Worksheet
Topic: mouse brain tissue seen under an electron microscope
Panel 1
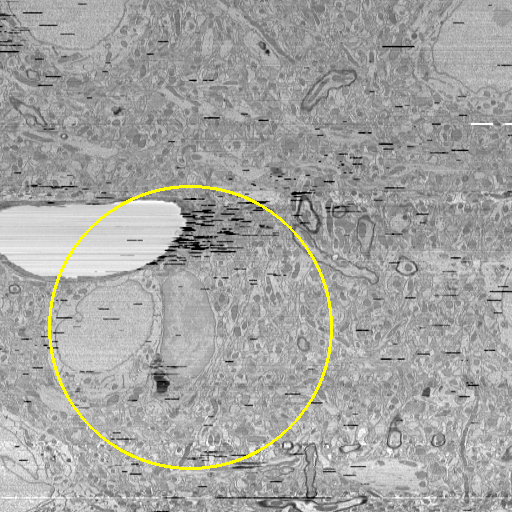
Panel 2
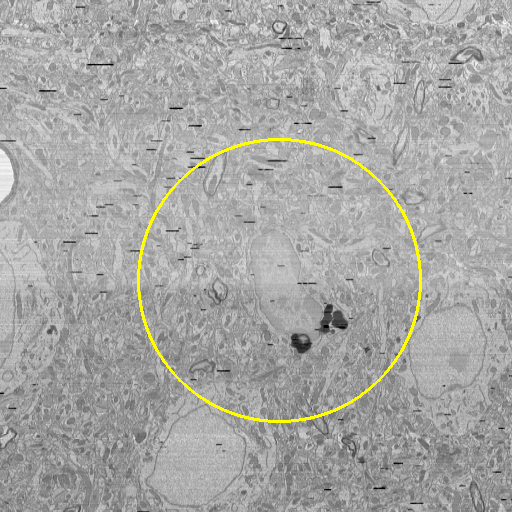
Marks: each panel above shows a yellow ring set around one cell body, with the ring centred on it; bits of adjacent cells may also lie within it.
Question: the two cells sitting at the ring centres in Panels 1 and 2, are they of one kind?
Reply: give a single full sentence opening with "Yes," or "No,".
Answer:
Yes, the two ring-centre cells in Panel 1 and Panel 2 are of one kind.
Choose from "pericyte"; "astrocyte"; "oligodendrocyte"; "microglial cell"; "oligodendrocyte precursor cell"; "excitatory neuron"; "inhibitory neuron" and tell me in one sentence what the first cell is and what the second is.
Each of the two rings surrounds a microglial cell.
